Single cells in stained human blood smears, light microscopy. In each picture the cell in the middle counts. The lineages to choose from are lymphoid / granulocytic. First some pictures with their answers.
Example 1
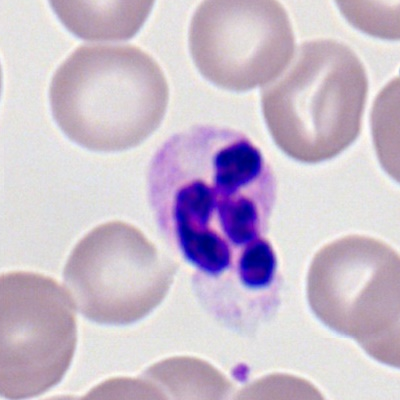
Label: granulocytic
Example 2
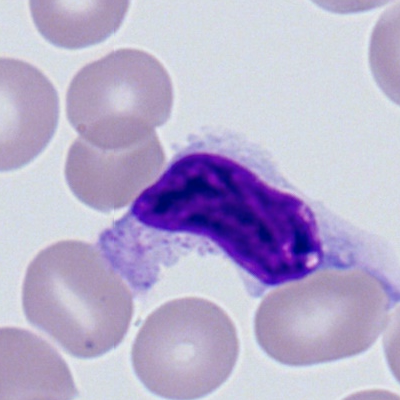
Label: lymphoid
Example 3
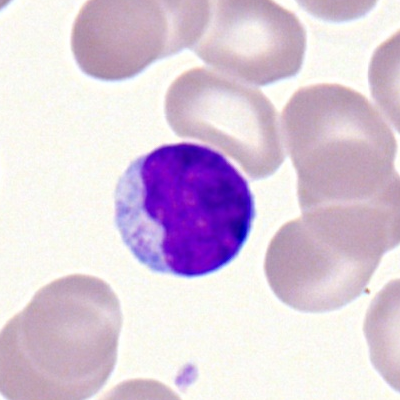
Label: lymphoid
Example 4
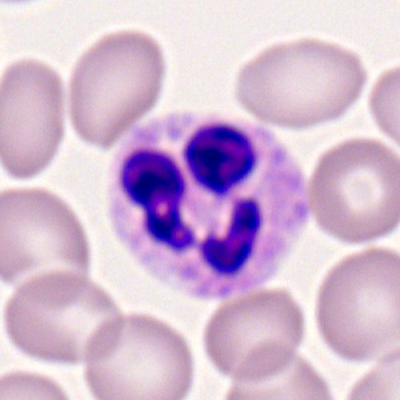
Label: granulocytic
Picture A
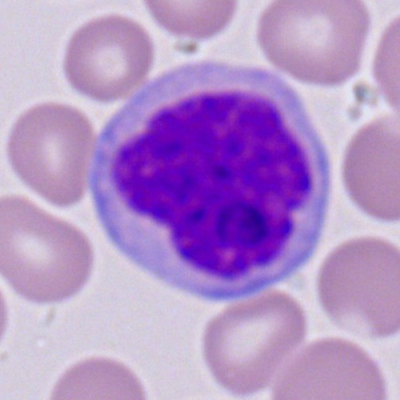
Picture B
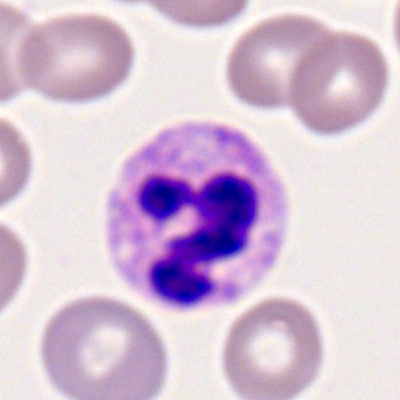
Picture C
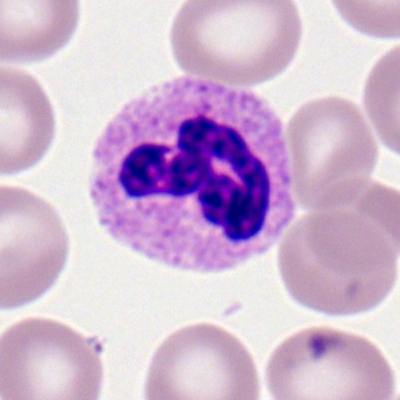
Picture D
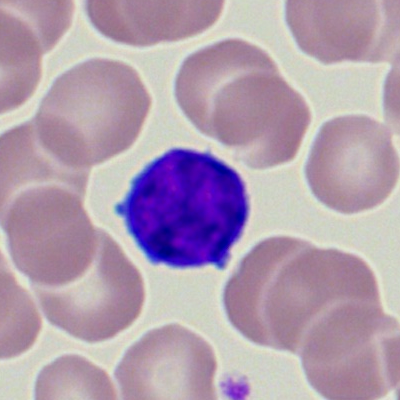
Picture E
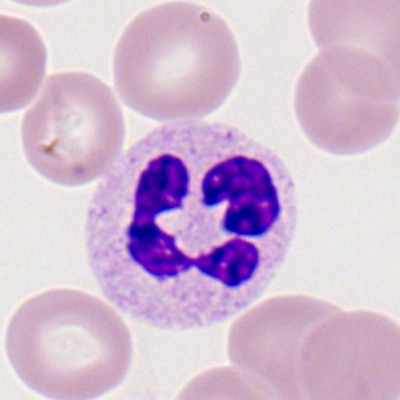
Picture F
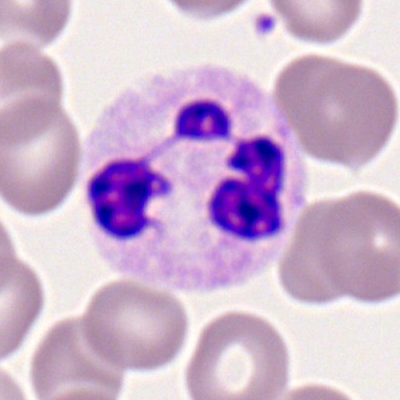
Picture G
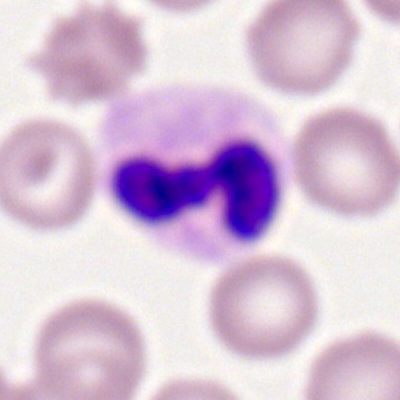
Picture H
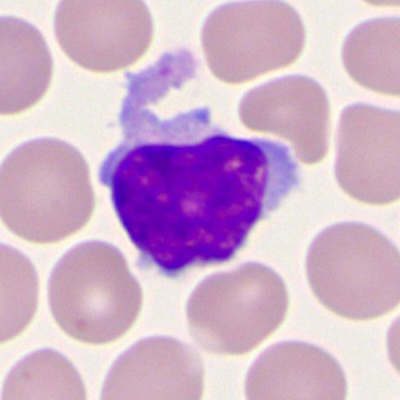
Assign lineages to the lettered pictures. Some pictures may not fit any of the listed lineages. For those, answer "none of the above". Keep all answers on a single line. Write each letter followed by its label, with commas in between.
A none of the above, B granulocytic, C granulocytic, D lymphoid, E granulocytic, F granulocytic, G granulocytic, H lymphoid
